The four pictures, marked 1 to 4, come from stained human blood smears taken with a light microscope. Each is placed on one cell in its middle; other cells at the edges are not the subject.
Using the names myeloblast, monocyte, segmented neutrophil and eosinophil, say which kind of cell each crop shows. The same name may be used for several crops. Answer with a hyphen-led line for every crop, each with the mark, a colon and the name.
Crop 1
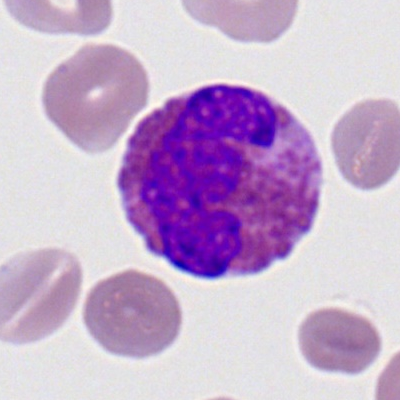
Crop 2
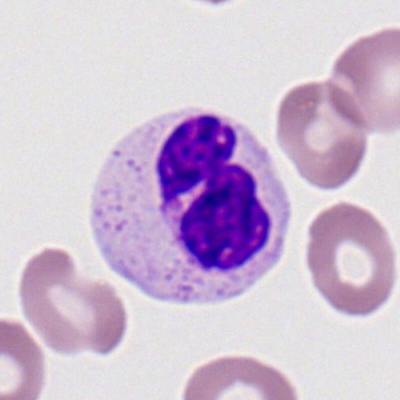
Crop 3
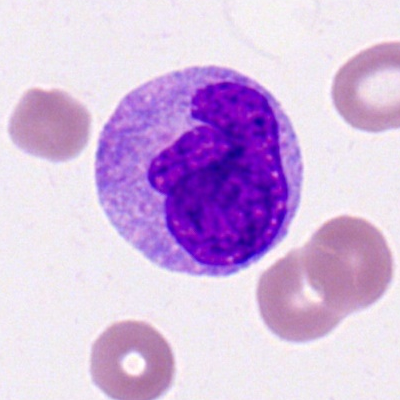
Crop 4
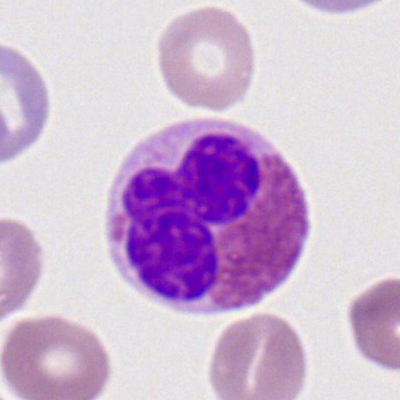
- 1: eosinophil
- 2: segmented neutrophil
- 3: monocyte
- 4: eosinophil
